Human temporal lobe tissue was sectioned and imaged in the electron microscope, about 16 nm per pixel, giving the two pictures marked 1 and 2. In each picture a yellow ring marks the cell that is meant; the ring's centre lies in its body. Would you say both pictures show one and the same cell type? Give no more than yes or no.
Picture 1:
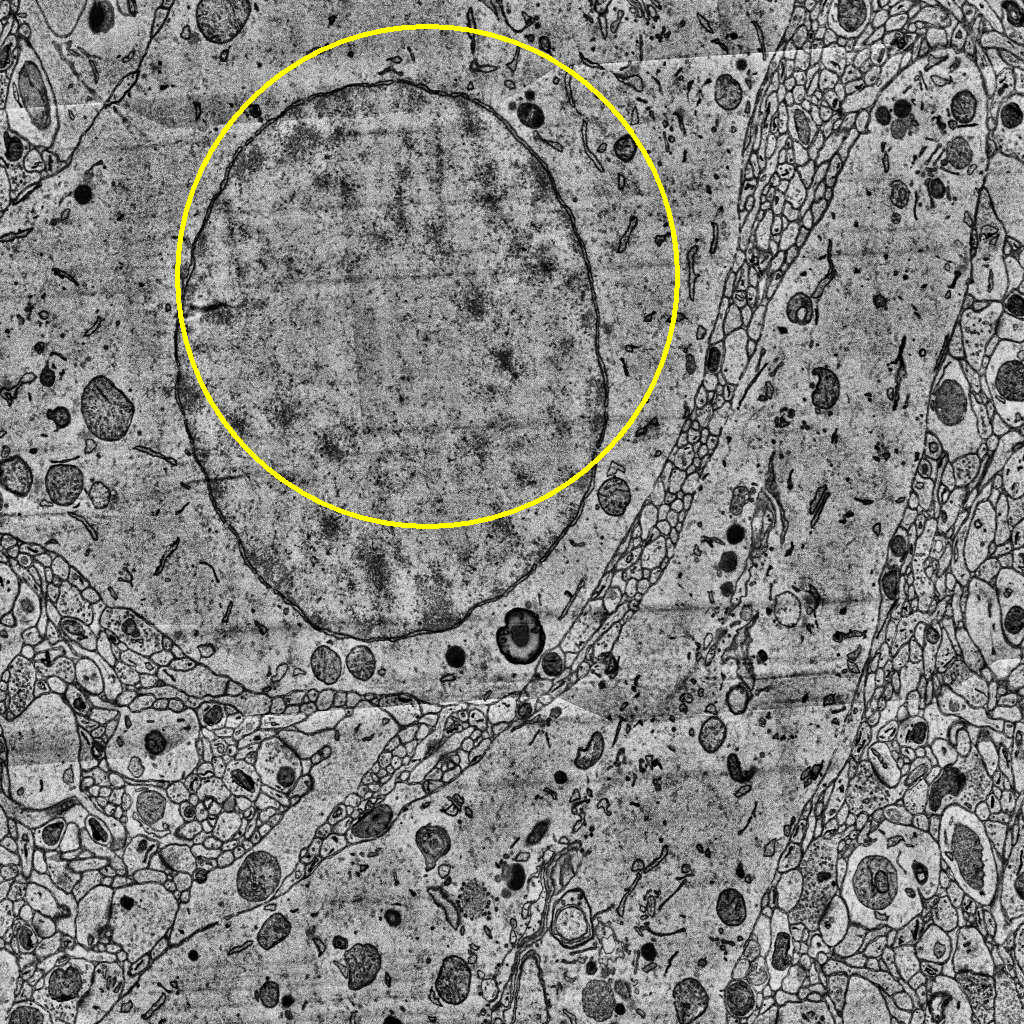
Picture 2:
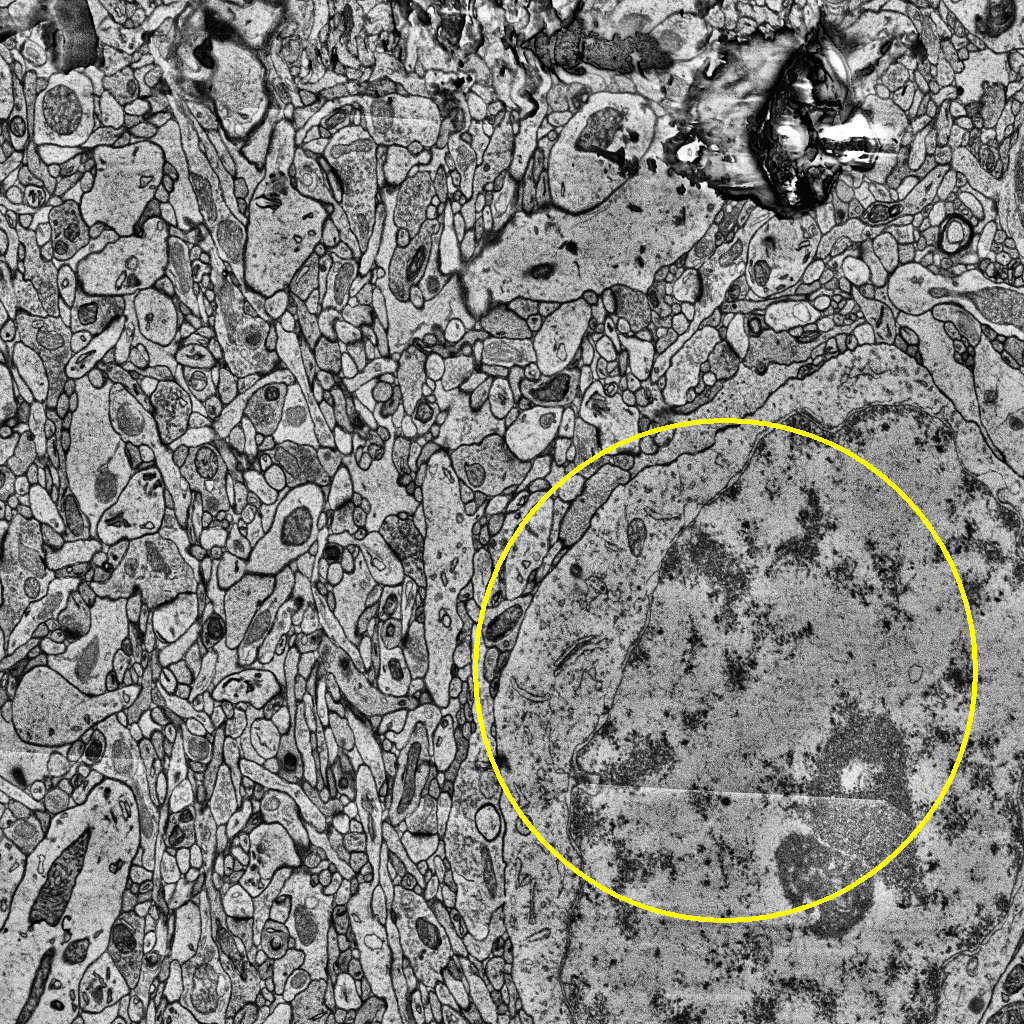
no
